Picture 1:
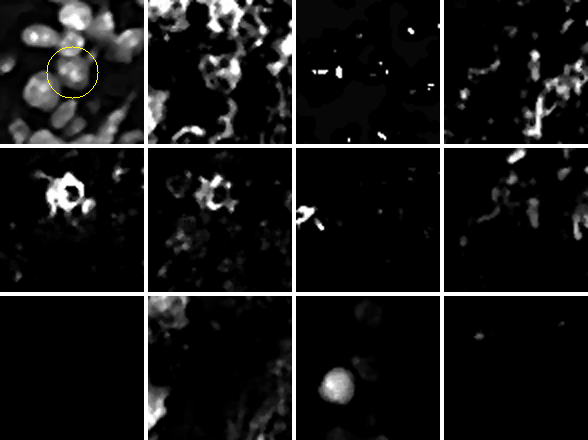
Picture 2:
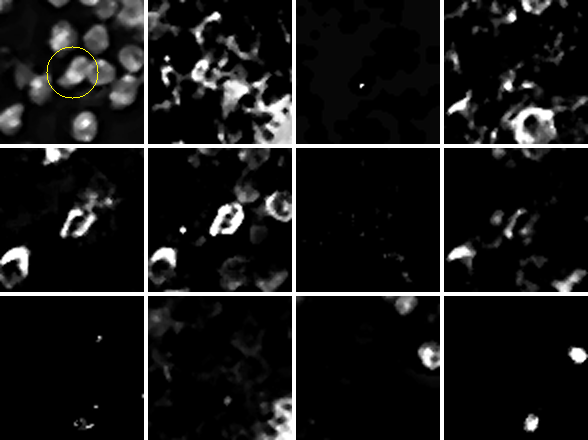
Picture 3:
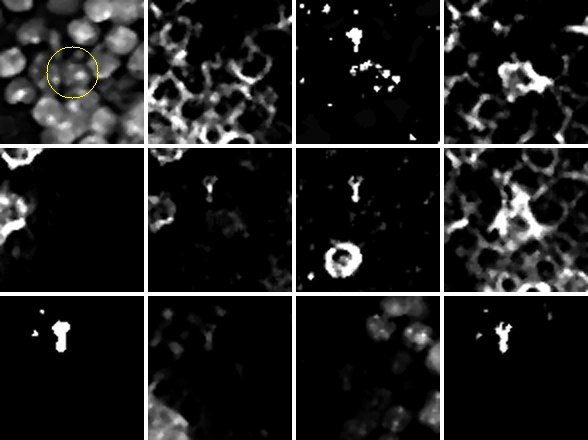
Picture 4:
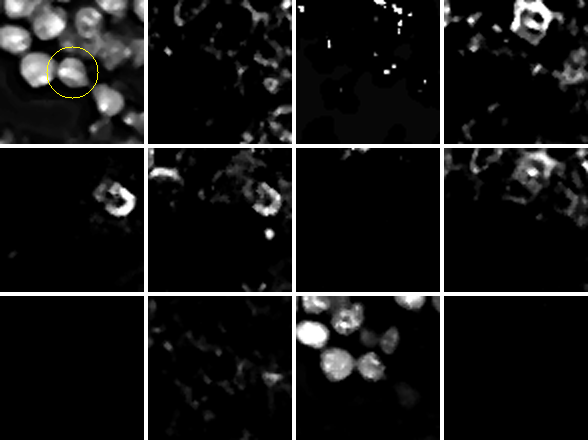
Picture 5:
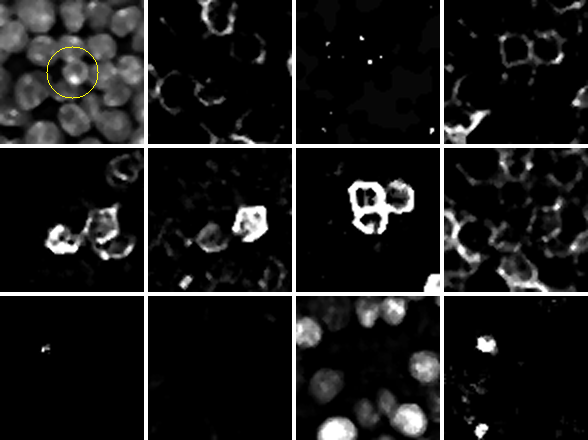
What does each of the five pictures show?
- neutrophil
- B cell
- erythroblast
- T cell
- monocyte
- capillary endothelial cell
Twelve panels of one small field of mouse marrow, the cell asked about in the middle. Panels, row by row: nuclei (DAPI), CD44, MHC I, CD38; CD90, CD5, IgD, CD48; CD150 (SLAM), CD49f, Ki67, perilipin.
1: neutrophil
2: T cell
3: monocyte
4: erythroblast
5: B cell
